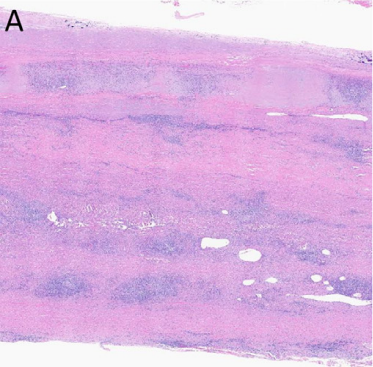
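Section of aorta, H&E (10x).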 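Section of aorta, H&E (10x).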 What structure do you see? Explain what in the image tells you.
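Lymphoid follicles. Several rounded dense purple-blue nodules lie in rows within the pink fibrous wall.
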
